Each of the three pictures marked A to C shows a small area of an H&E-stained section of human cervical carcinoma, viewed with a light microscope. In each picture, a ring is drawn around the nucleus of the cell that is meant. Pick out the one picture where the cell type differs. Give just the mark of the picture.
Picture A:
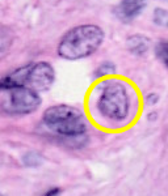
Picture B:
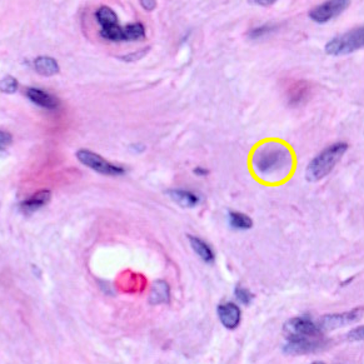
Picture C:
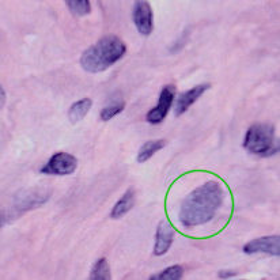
A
